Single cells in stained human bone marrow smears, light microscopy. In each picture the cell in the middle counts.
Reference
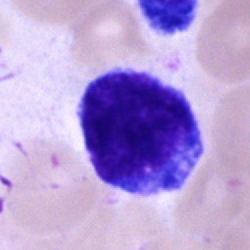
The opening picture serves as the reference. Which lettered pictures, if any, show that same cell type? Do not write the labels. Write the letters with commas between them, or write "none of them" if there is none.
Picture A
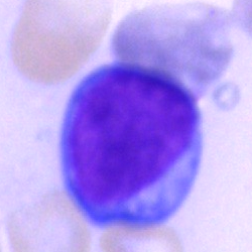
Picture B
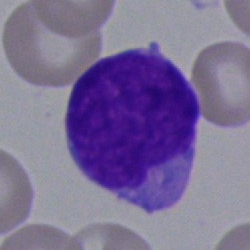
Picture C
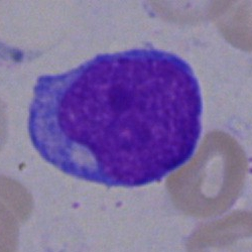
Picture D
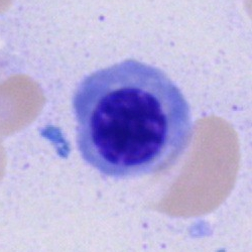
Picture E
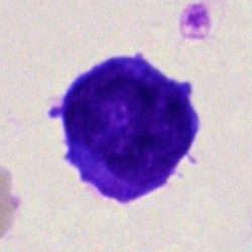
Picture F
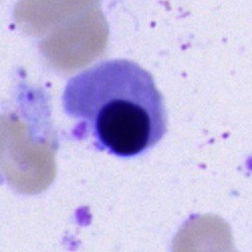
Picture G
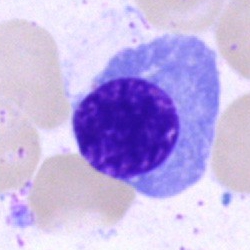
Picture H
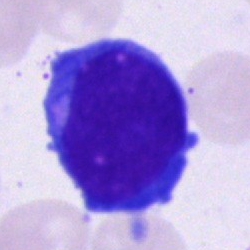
A, B, C, E, H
